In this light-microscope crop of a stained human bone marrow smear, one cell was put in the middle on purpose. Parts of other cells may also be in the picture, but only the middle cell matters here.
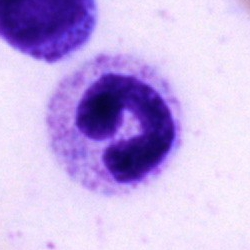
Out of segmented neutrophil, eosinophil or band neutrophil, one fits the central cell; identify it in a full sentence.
The cell of interest, in the center, is a band neutrophil.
